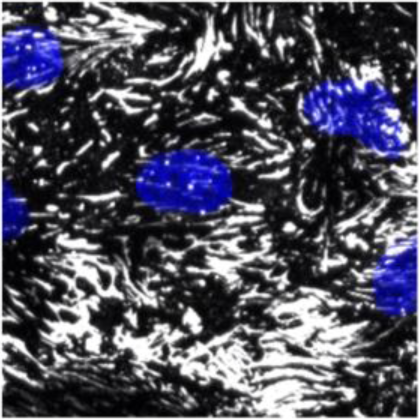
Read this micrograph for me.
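The fibrils cover the spaces between nuclei and pass over them; cell outlines are hardly to be made out beneath the matrix. A few dark gaps remain where fibrils are sparse.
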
